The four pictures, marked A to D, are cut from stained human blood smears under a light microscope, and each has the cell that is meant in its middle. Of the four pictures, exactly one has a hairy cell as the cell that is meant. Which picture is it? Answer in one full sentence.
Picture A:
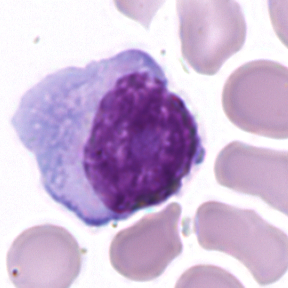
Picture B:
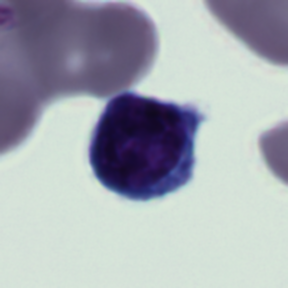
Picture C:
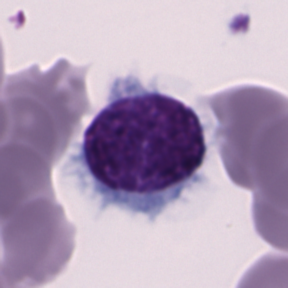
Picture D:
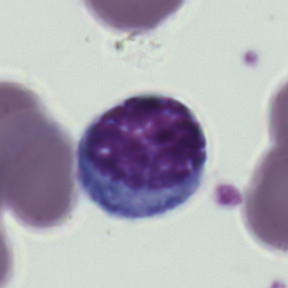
It is picture C that shows the hairy cell.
